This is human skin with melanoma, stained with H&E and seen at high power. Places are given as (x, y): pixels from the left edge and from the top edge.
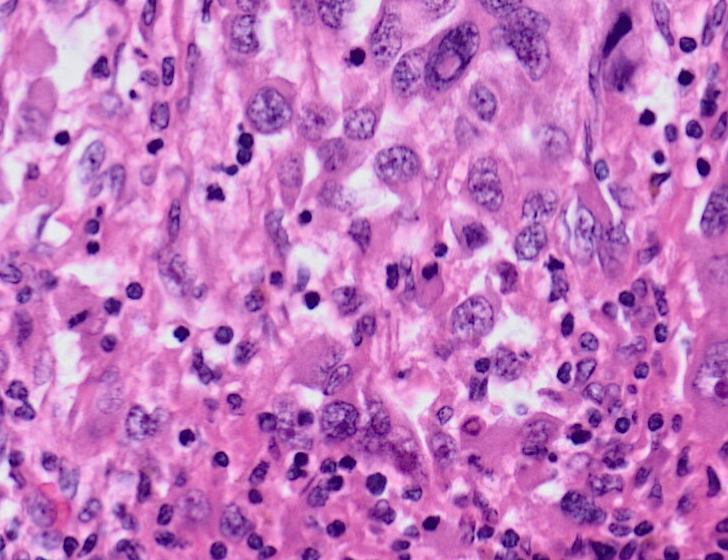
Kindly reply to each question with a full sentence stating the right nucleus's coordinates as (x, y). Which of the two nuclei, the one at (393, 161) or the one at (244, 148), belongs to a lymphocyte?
Of the two options, the nucleus at (244, 148) is the one that belongs to a lymphocyte.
